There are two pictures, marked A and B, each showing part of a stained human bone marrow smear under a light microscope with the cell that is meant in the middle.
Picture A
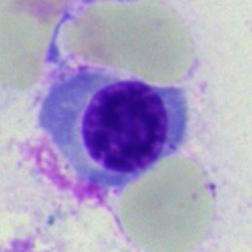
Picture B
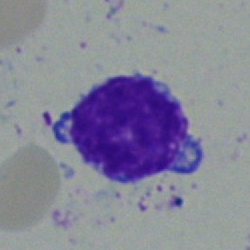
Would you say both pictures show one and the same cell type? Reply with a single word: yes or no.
no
